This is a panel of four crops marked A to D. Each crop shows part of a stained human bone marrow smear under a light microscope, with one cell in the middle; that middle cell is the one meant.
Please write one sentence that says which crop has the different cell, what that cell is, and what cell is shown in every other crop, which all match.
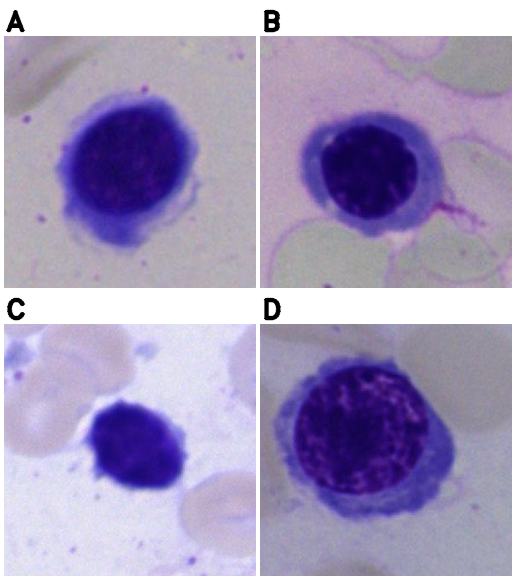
The pattern of erythroblasts across the crops is broken only by crop C, which shows a lymphocyte.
